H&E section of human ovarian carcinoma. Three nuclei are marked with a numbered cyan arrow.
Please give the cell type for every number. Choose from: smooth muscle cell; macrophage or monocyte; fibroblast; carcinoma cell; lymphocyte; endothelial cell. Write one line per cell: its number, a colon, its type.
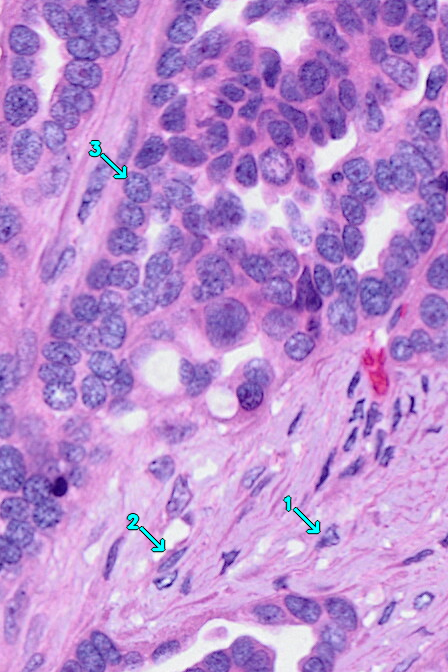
1: fibroblast
2: fibroblast
3: carcinoma cell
